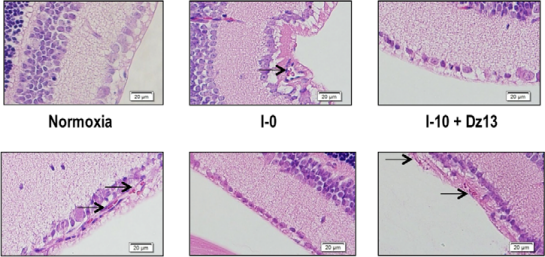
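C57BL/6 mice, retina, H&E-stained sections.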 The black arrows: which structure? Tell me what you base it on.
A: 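Blood vessels. The arrows point to small lumens at the inner surface of the retina. Some marked lumens contain small red-pink bodies.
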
